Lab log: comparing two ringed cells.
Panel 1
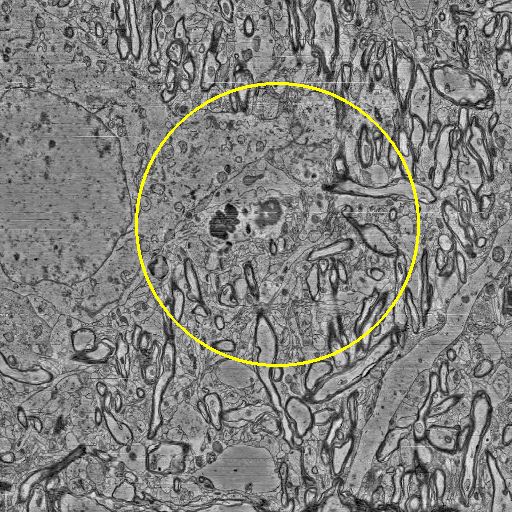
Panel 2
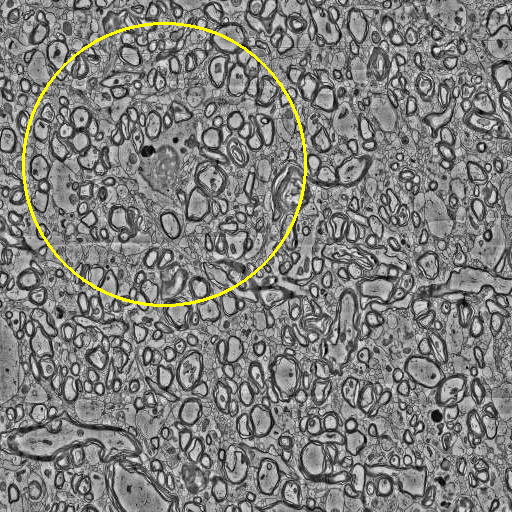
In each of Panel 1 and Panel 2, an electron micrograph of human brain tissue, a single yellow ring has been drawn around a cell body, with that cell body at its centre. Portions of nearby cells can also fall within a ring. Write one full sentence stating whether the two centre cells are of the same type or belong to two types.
The cells at the ring centres in Panel 1 and Panel 2 belong to two types.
